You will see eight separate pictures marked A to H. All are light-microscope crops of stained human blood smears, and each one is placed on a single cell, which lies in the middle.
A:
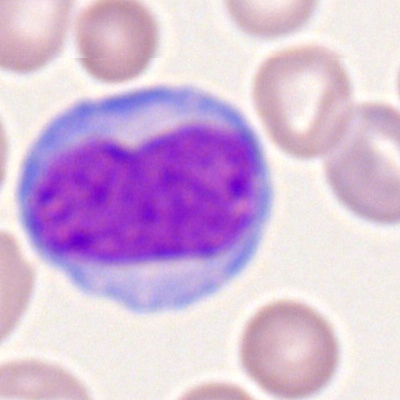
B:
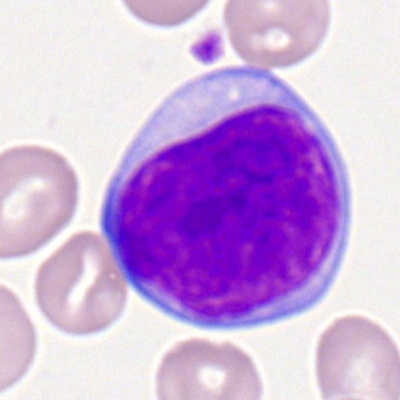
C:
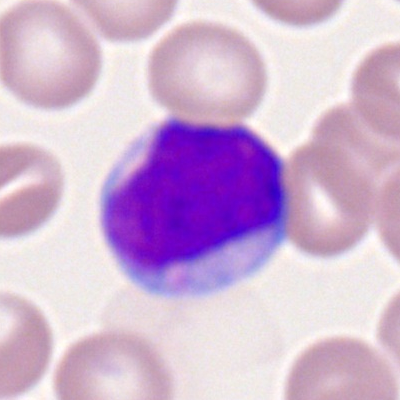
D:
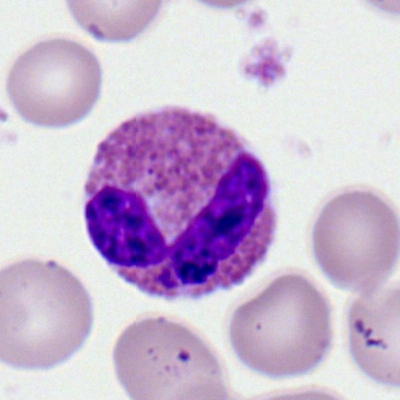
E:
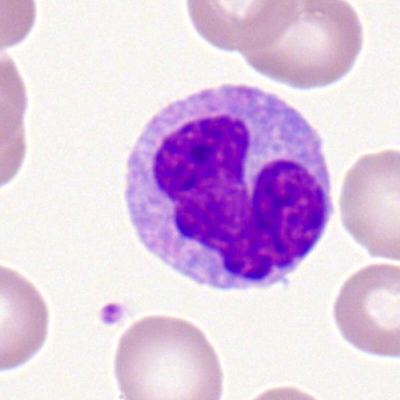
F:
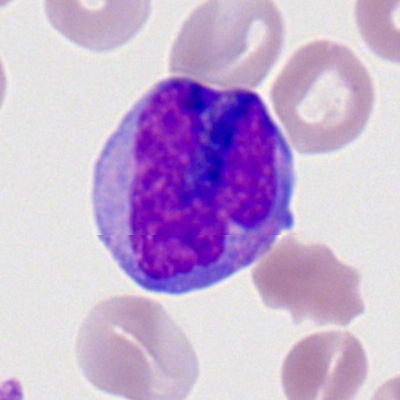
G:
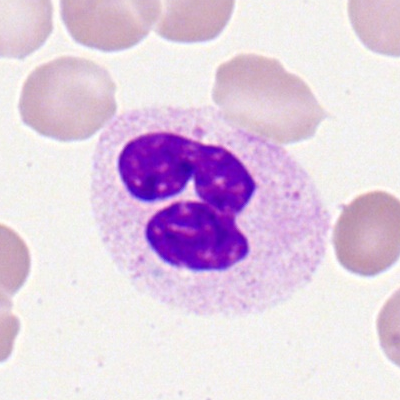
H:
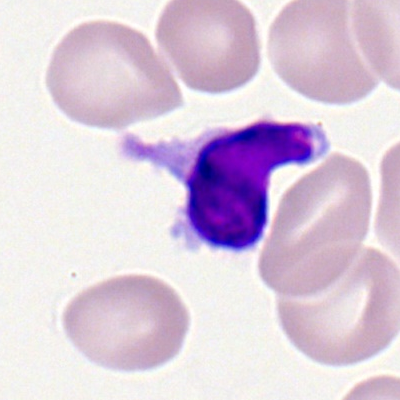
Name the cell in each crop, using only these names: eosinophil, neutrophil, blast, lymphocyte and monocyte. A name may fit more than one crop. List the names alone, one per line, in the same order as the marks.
monocyte
blast
blast
eosinophil
monocyte
blast
neutrophil
lymphocyte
